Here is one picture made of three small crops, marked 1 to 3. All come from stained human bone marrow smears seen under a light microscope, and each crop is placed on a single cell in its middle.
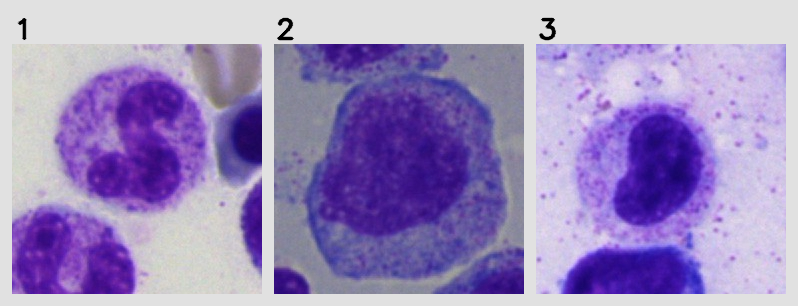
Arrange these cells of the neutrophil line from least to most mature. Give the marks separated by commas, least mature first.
2, 3, 1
